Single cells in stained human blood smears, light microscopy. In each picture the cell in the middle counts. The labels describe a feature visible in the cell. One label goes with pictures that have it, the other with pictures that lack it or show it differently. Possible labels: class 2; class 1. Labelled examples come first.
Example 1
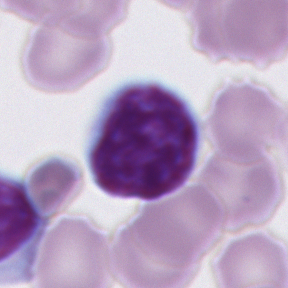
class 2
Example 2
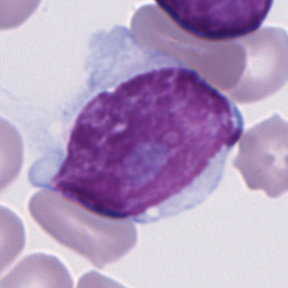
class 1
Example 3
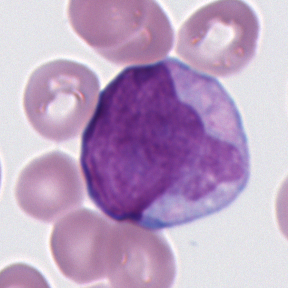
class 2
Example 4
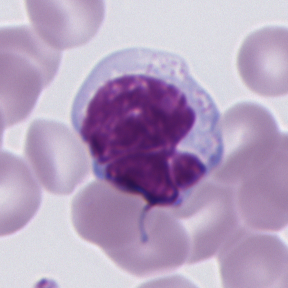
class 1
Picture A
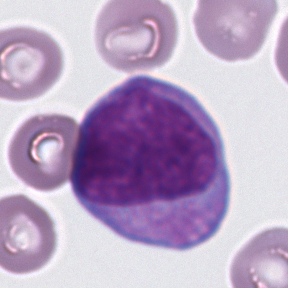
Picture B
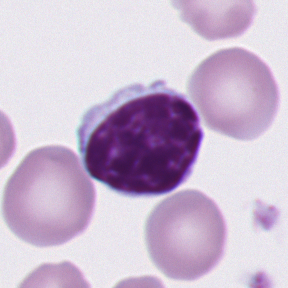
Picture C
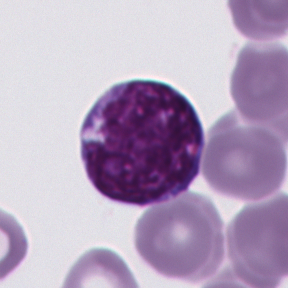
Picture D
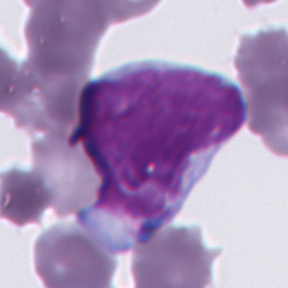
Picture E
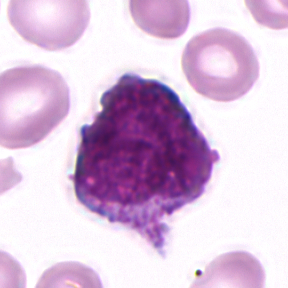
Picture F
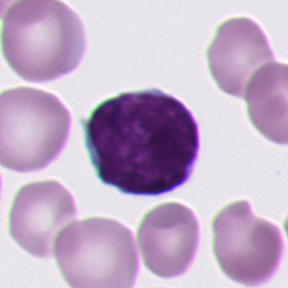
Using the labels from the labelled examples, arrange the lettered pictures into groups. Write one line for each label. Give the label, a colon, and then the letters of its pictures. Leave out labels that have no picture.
class 2: A, C, F
class 1: B, D, E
